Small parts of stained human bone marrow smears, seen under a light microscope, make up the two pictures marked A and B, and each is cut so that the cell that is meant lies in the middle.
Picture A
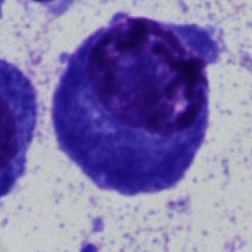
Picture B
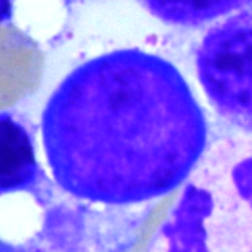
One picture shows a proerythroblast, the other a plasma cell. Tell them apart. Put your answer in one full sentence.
Picture A is of a plasma cell, and picture B is of a proerythroblast.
